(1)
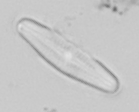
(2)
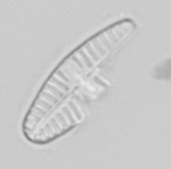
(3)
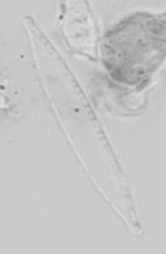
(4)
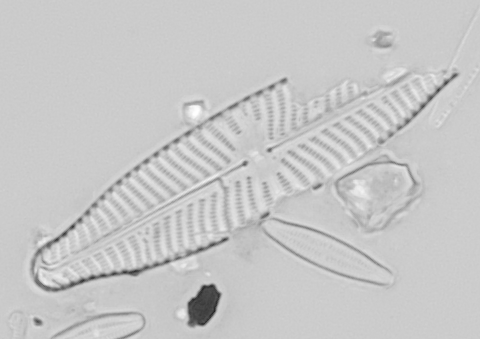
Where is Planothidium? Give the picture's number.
2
